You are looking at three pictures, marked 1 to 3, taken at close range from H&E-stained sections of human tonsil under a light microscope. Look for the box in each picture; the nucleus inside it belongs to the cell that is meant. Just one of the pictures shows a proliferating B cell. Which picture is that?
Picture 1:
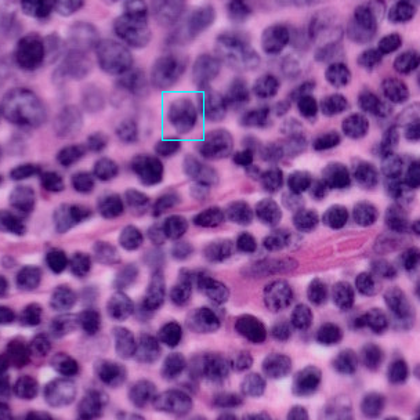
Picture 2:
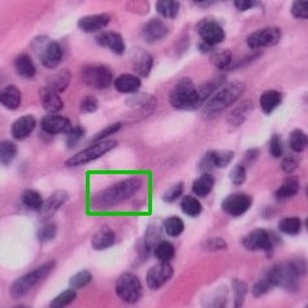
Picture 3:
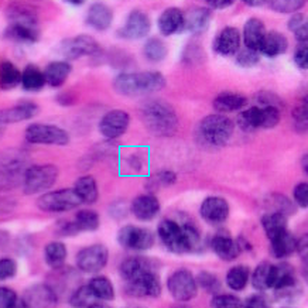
1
